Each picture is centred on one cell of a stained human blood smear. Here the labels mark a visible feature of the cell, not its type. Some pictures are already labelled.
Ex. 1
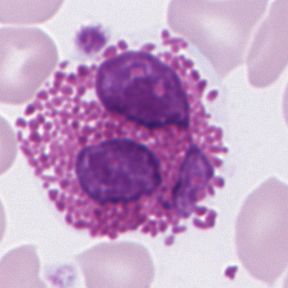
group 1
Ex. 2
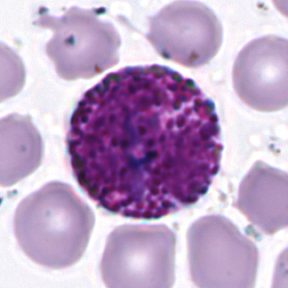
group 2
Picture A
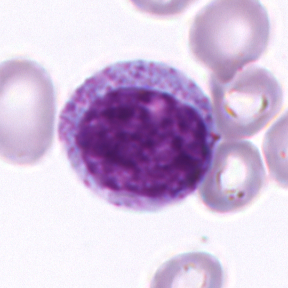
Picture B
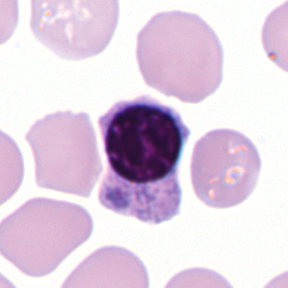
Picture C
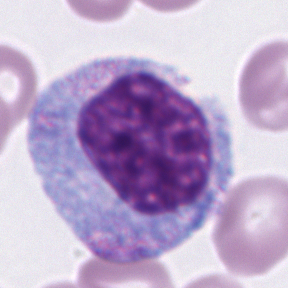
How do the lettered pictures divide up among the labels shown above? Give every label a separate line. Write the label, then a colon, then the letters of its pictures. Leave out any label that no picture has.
group 1: B, C
group 2: A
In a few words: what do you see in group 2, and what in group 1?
group 2: smooth outline; group 1: ragged outline or projections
